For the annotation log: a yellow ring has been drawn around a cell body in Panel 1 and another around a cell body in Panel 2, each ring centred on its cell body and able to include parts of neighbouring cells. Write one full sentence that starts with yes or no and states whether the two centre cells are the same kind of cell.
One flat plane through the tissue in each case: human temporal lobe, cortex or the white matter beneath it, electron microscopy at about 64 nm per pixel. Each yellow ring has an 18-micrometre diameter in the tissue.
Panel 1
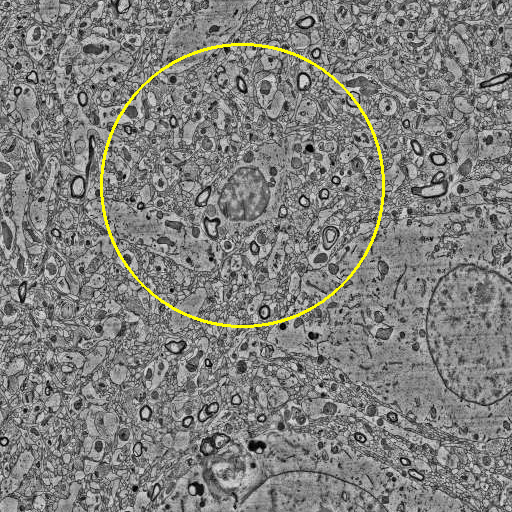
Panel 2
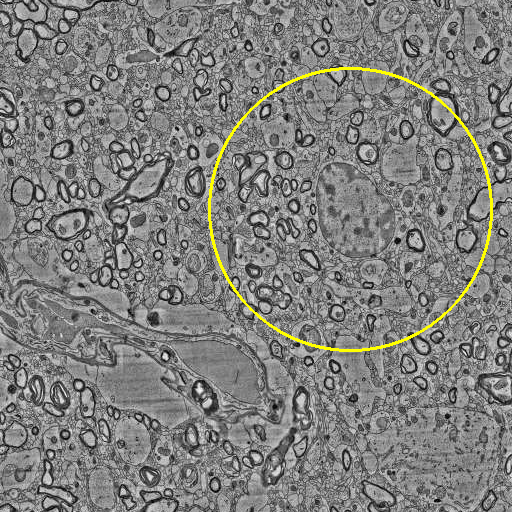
No, the two centre cells are two kinds of cell.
